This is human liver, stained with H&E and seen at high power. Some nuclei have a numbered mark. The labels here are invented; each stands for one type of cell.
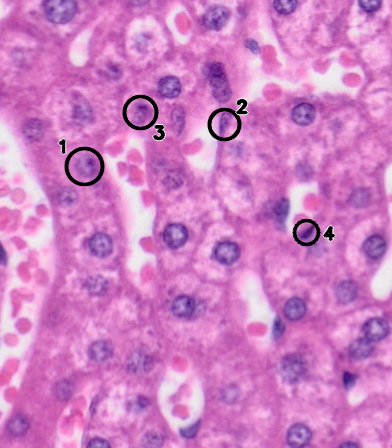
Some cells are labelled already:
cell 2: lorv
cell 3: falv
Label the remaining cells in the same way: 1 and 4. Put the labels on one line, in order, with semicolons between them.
falv; lorv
